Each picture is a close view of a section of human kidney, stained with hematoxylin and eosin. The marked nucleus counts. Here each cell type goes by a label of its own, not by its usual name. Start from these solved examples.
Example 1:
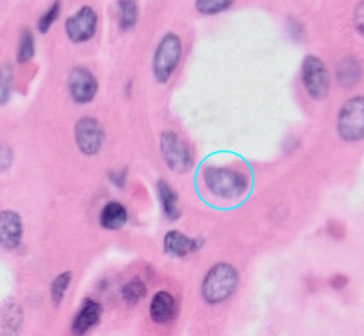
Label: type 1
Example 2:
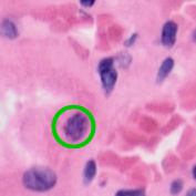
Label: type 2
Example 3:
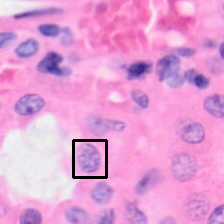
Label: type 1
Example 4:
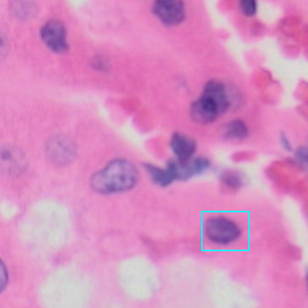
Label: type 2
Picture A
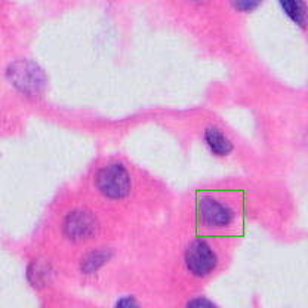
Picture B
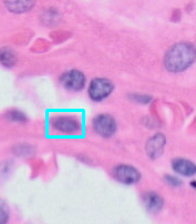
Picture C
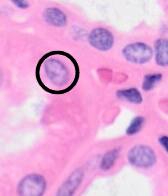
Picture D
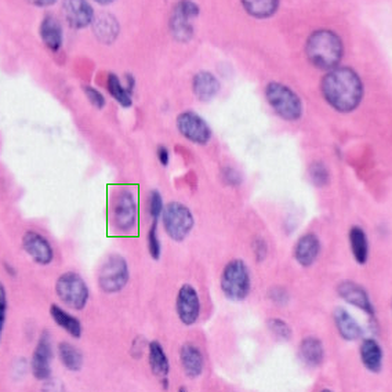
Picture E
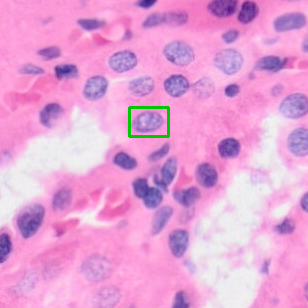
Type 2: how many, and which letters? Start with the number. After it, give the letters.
Count: 1 (C)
